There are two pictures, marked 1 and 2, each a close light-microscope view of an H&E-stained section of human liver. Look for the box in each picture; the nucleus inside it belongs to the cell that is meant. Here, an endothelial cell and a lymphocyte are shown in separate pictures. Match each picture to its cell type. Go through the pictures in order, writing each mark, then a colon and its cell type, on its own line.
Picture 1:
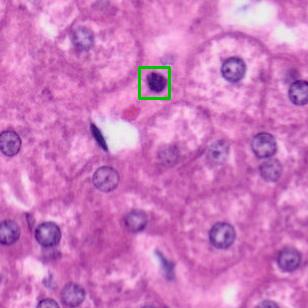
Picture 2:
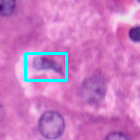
1: lymphocyte
2: endothelial cell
